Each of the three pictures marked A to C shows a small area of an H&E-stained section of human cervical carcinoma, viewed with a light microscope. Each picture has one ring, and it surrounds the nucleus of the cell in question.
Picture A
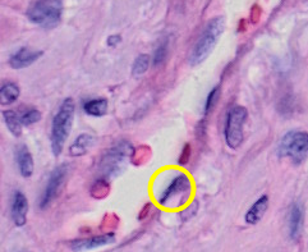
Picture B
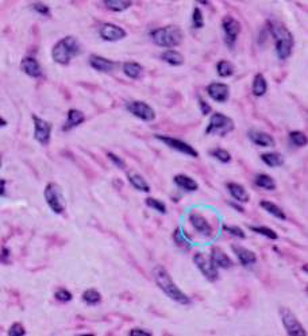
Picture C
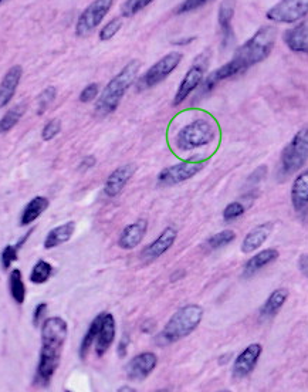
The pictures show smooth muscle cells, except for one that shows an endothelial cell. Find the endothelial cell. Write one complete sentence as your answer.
The endothelial cell is the one in picture A.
